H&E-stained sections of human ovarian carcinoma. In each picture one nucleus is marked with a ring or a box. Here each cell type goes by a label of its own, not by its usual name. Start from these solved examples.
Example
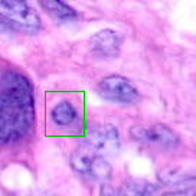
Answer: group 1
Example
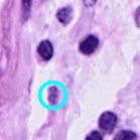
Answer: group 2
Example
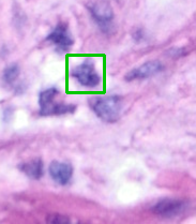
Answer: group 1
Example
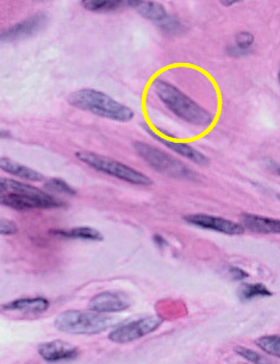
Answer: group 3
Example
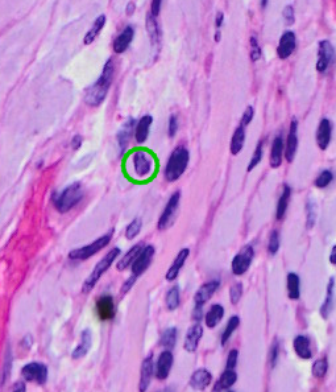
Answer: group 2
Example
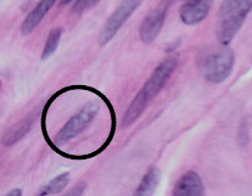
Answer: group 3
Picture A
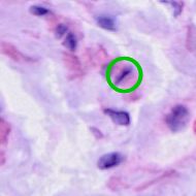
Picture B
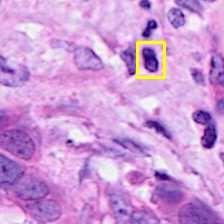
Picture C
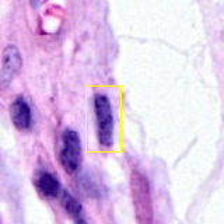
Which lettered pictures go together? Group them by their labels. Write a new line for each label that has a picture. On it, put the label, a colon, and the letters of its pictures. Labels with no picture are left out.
group 1: C
group 2: B
group 3: A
